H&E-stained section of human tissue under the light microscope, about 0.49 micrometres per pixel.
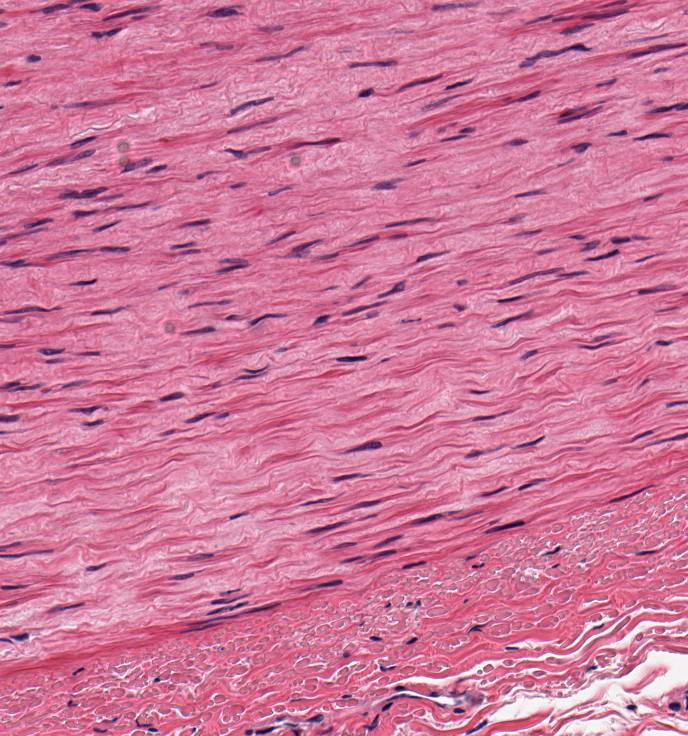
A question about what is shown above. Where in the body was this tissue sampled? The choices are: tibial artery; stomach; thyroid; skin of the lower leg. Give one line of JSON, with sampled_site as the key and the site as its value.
{"sampled_site": "tibial artery"}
